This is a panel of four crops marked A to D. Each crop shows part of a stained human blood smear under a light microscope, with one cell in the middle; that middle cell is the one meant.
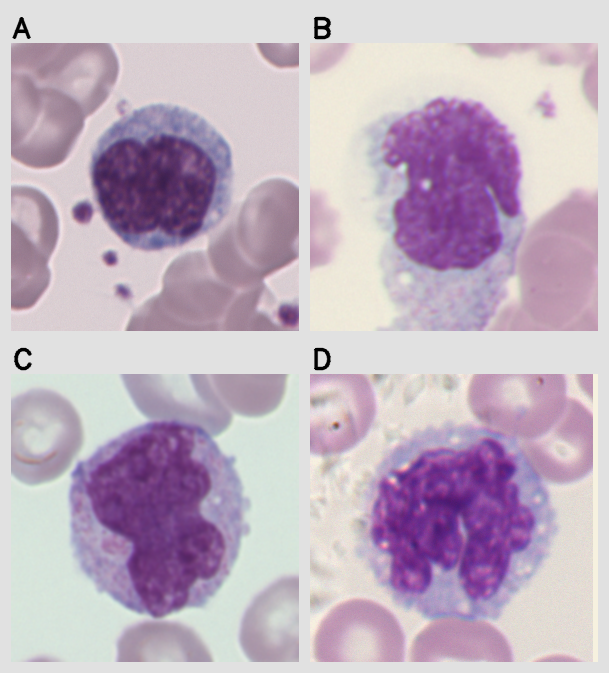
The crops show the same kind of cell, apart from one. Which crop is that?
C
